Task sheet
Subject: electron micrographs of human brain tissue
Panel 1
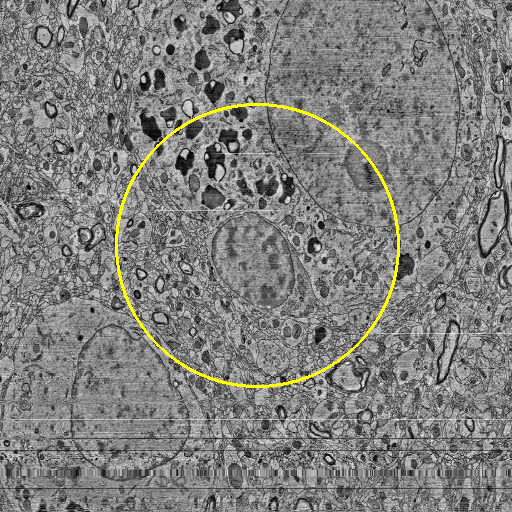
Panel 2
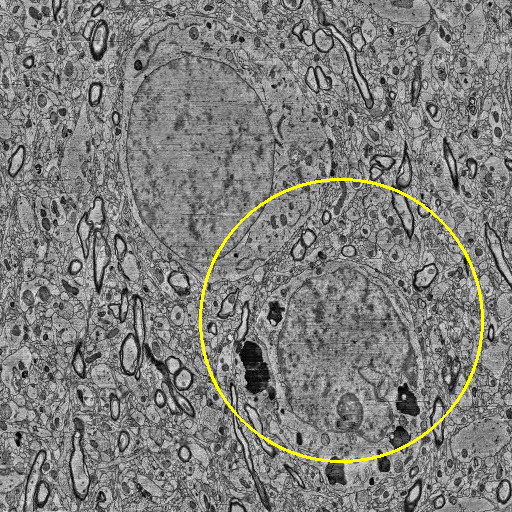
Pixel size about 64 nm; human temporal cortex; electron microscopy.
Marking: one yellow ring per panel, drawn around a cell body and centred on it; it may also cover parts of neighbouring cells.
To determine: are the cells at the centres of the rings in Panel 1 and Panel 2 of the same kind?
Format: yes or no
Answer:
no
